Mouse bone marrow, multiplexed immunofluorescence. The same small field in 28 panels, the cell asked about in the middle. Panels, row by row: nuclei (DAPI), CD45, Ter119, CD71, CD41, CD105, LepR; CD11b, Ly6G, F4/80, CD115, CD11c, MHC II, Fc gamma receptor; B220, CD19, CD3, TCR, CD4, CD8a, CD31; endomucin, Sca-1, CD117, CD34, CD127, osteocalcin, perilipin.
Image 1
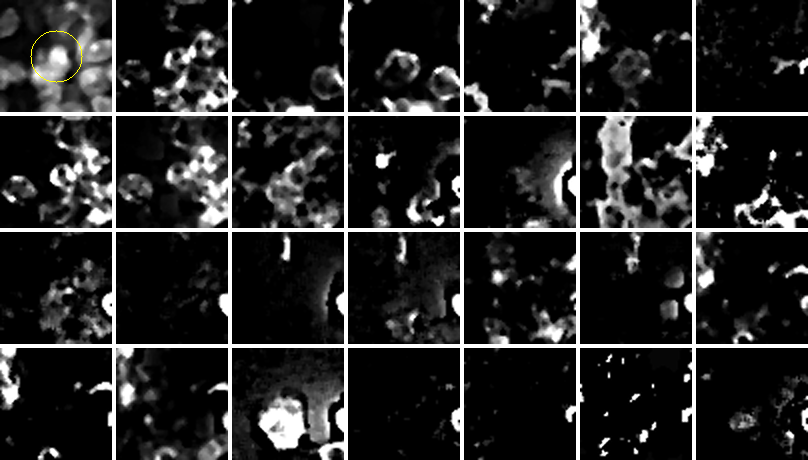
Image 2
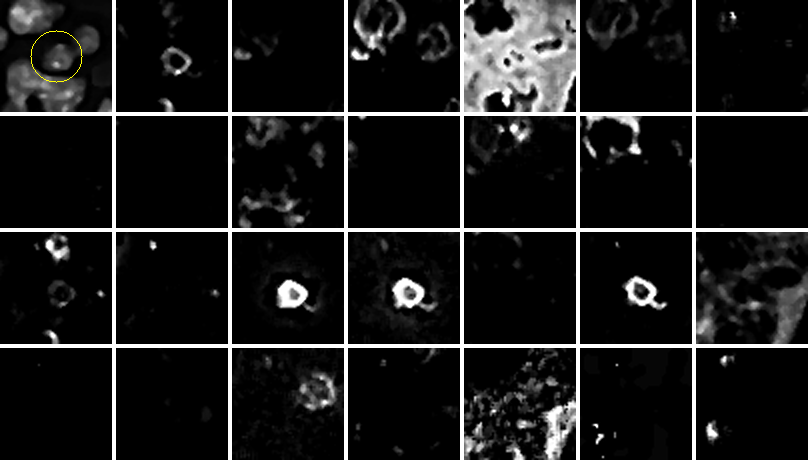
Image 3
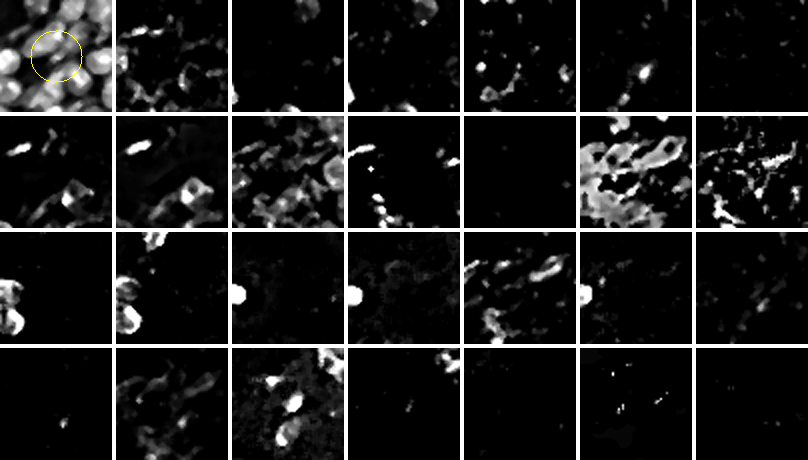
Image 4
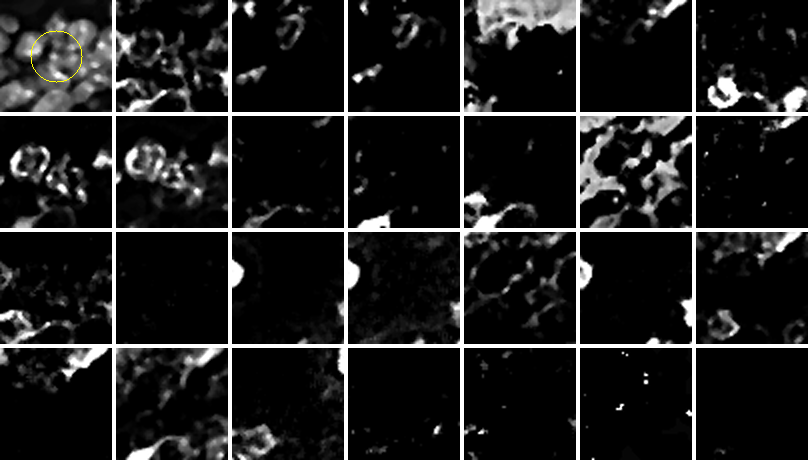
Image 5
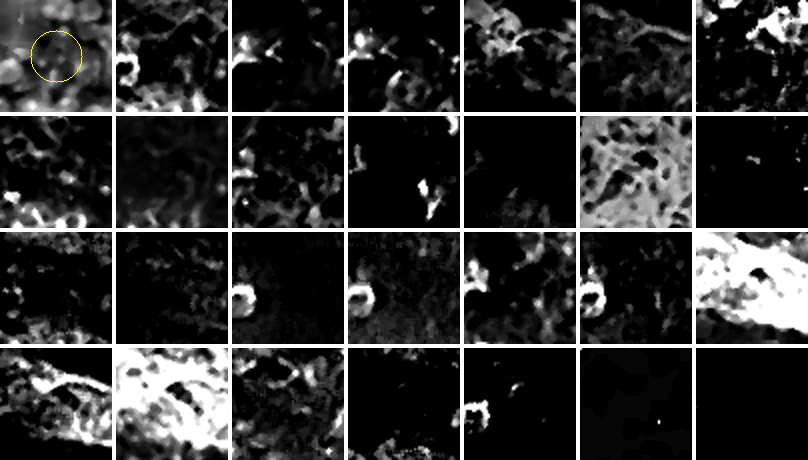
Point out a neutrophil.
That is picture 4.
